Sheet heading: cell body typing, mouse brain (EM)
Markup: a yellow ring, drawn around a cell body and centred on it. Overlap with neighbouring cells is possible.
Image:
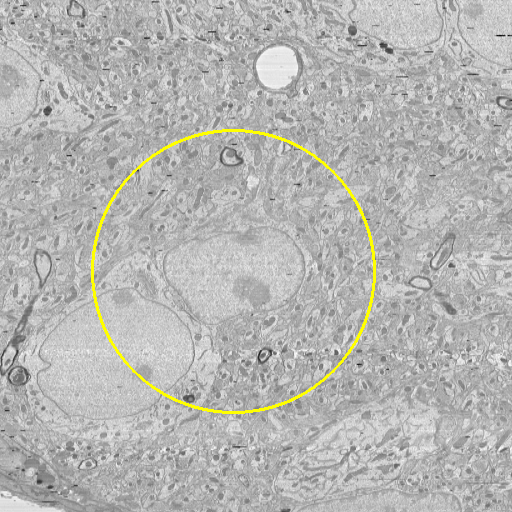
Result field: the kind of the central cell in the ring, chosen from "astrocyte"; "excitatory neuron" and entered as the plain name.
astrocyte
